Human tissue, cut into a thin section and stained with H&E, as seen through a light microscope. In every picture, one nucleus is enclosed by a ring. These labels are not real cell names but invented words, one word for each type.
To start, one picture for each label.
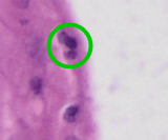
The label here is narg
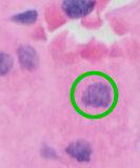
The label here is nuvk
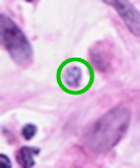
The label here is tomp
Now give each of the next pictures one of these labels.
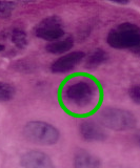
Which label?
narg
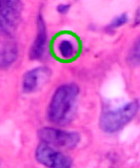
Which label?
tomp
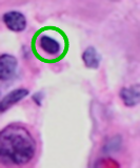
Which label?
tomp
